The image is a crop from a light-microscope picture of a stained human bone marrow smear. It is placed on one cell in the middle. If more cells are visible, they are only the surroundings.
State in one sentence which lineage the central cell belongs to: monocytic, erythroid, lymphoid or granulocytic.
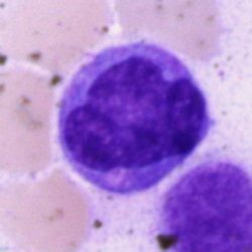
By lineage, the cell in the middle of the crop is monocytic.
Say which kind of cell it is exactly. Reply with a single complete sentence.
The cell in the middle of the field of view is a monocyte.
